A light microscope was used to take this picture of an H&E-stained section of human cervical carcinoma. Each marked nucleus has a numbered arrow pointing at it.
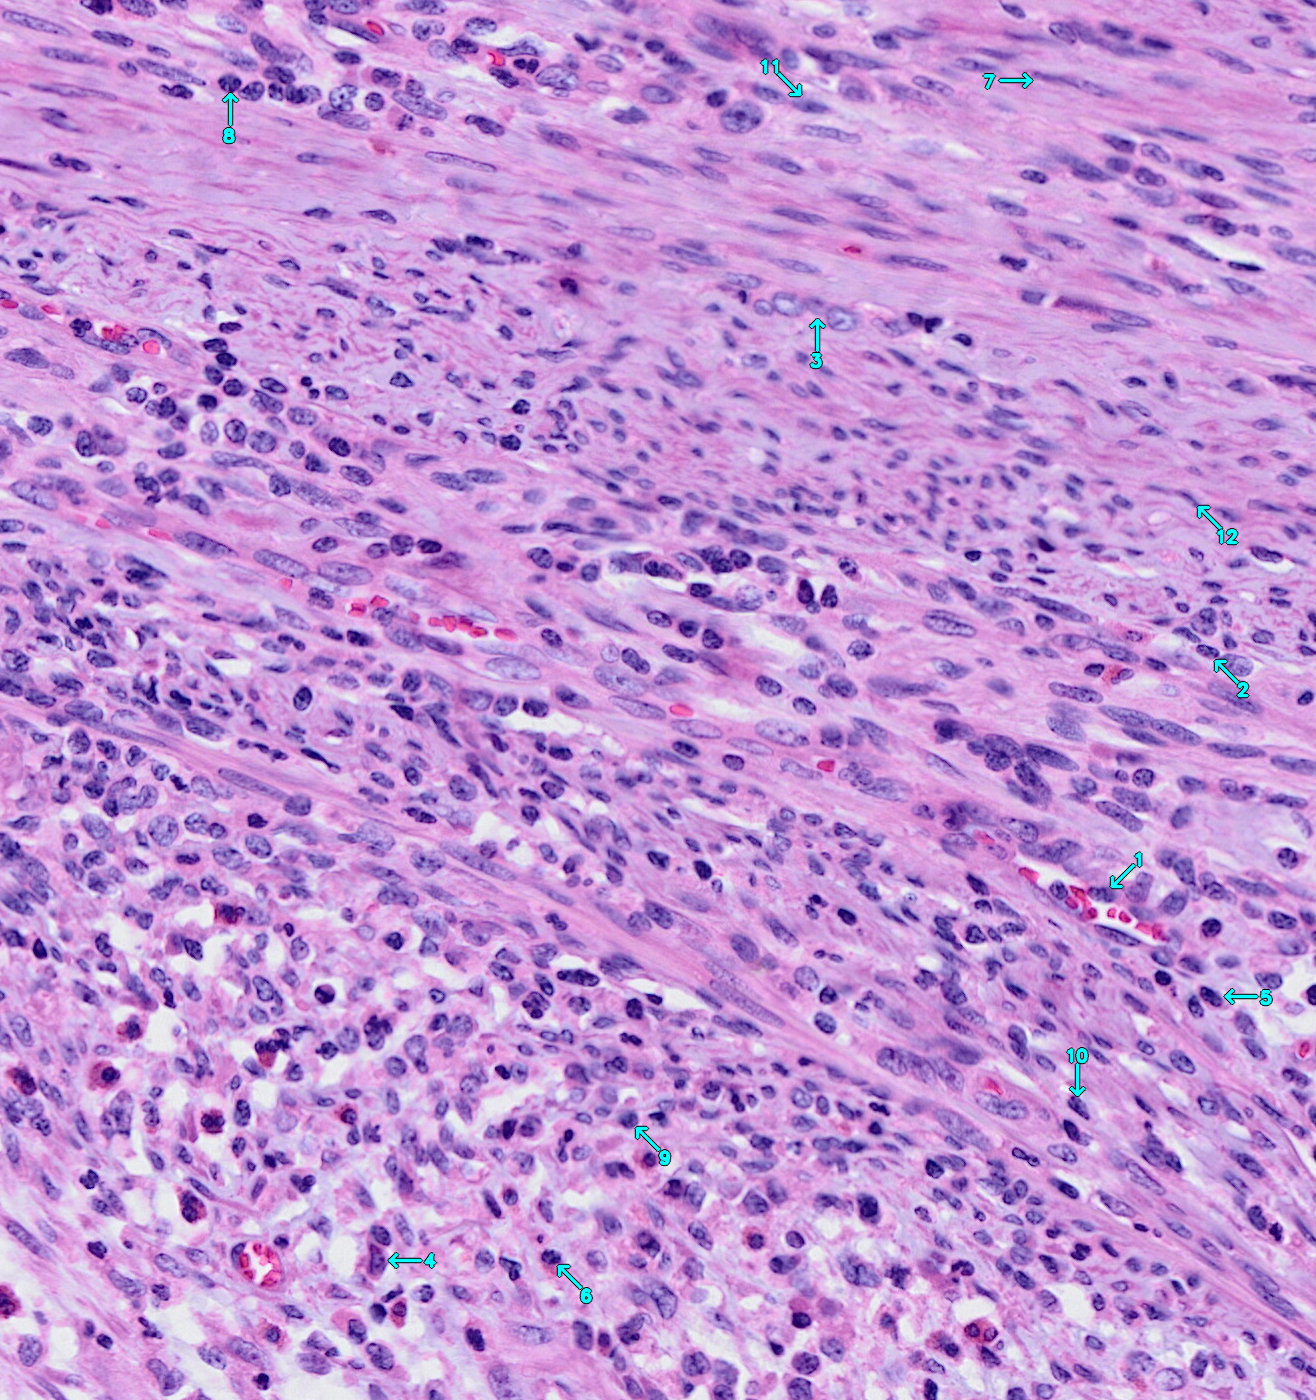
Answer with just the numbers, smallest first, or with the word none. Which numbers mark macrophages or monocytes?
4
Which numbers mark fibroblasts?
11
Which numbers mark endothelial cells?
1, 3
